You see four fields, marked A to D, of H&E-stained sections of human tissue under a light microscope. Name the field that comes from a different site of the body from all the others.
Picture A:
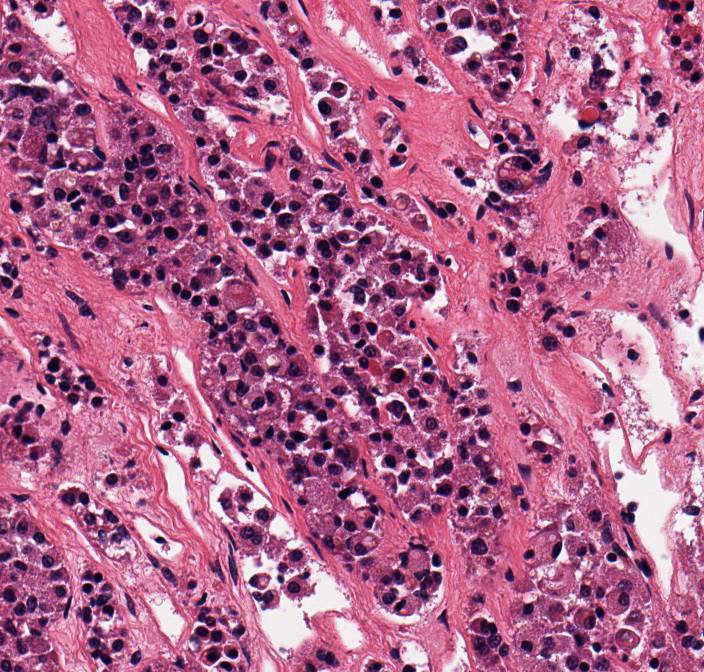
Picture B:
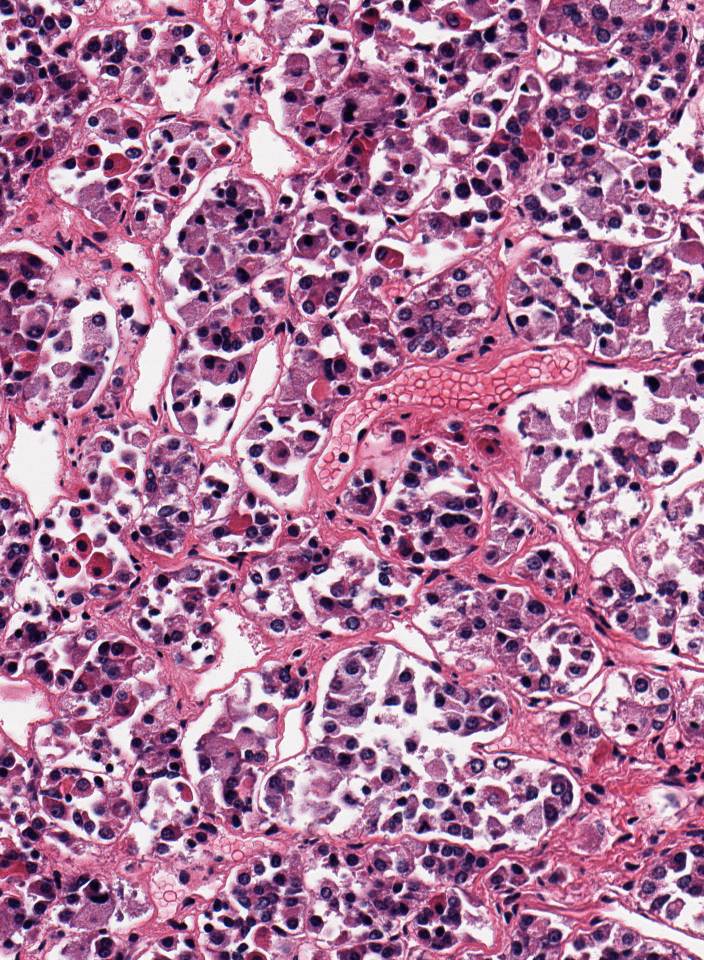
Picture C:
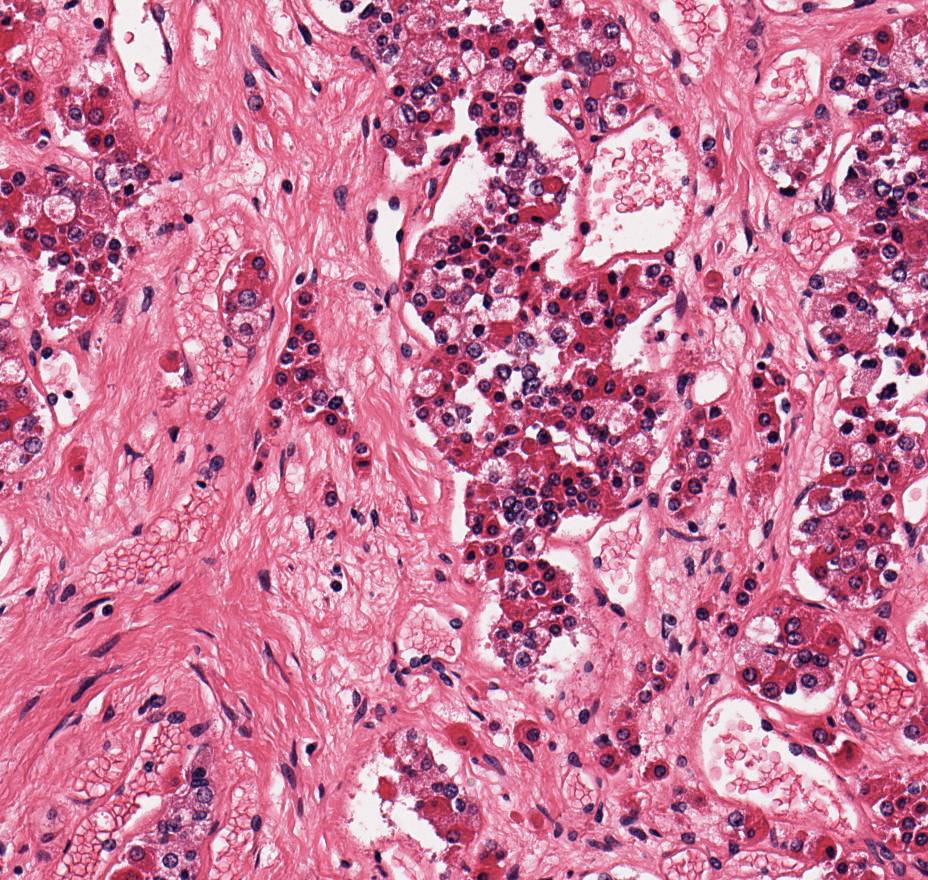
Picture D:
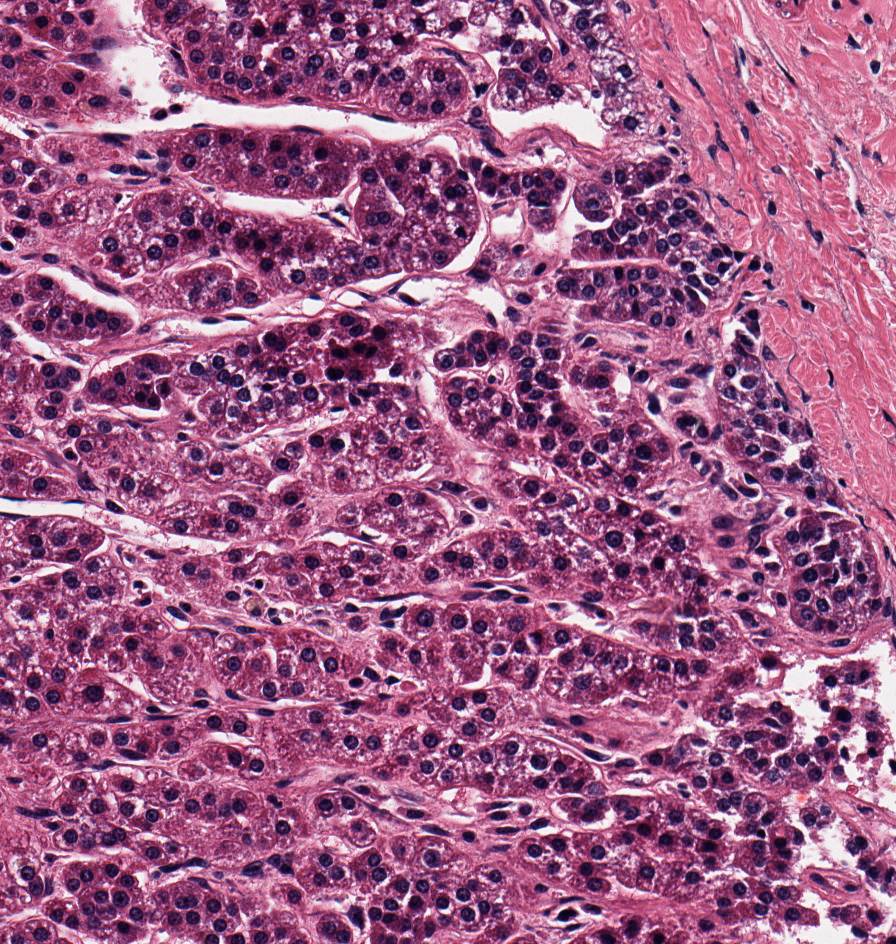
D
